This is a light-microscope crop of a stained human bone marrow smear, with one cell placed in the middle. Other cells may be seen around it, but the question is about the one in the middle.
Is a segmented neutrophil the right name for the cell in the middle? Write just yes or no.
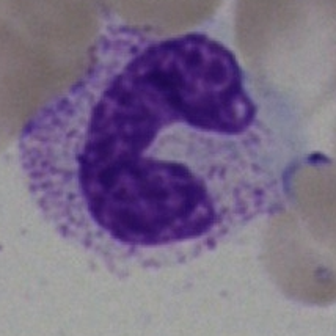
yes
